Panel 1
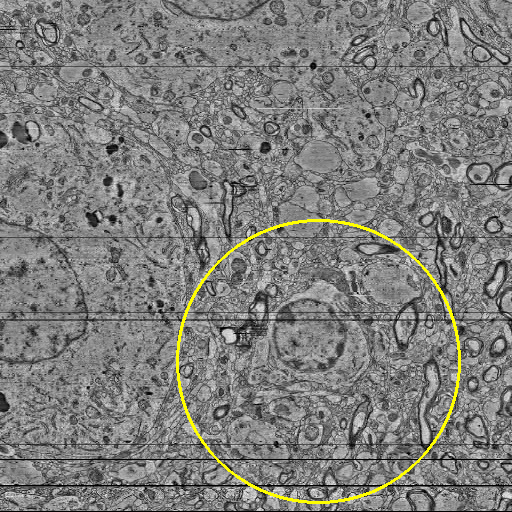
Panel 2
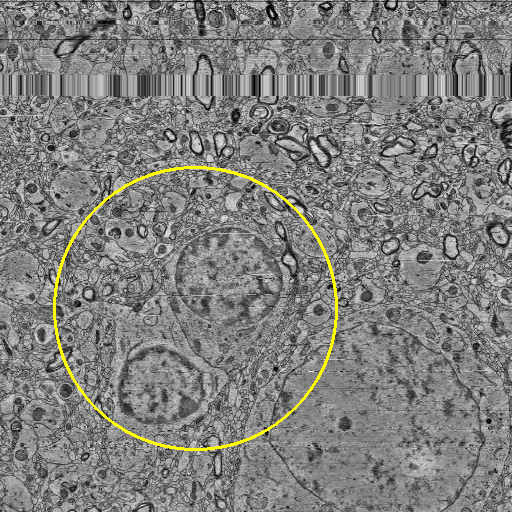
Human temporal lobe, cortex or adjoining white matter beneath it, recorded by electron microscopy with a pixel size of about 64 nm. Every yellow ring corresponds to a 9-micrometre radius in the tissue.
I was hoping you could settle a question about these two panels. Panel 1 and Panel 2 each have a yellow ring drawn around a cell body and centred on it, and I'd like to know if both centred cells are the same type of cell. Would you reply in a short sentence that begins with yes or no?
No, they are two types of cell.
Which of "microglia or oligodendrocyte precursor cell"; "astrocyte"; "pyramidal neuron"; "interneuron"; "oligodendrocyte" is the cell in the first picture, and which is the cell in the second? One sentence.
The two differ: the first cell is a microglial cell or oligodendrocyte precursor cell and the second is an oligodendrocyte.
